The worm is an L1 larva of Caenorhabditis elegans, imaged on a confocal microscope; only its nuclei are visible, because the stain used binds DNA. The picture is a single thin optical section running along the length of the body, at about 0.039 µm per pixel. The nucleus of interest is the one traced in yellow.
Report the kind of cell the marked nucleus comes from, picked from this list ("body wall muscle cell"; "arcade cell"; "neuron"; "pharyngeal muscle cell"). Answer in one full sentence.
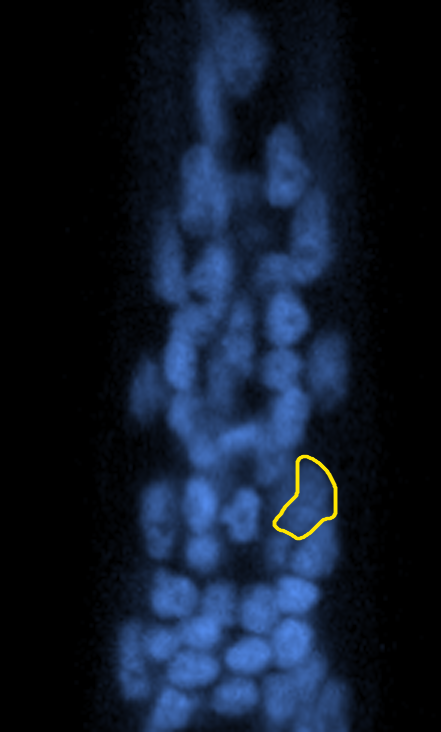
The cell with the marked nucleus is a body wall muscle cell.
